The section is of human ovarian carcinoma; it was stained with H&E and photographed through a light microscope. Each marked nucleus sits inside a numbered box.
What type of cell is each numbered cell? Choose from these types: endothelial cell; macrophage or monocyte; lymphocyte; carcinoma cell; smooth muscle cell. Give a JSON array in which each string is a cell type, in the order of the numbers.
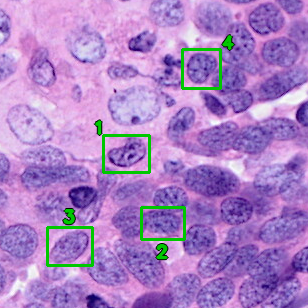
["macrophage or monocyte", "carcinoma cell", "carcinoma cell", "carcinoma cell"]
